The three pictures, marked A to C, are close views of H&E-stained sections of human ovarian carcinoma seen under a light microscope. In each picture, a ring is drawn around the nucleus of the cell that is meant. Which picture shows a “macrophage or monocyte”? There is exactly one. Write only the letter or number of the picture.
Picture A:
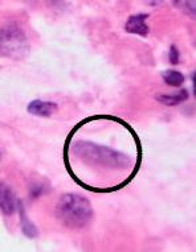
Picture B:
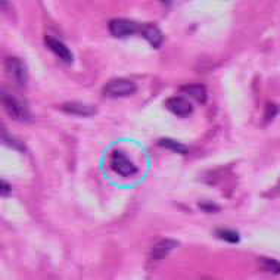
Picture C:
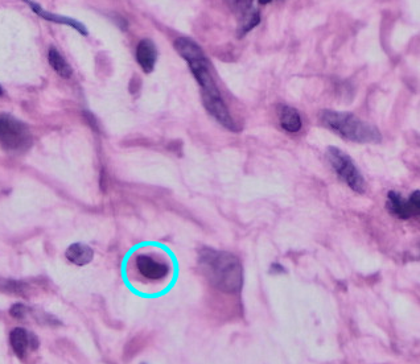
C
